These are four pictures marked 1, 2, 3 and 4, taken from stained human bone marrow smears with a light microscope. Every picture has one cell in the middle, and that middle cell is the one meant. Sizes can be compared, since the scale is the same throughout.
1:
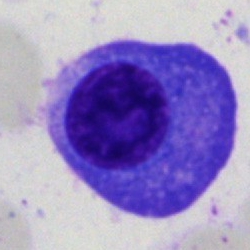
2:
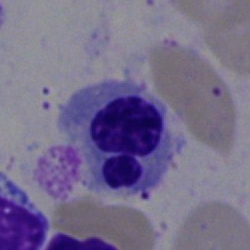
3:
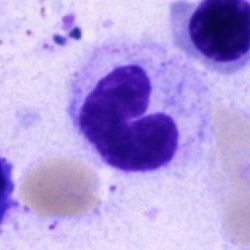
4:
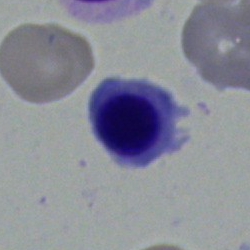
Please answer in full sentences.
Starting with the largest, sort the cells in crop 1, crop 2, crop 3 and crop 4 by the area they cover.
The order is 1, 3, 2, 4, beginning with the largest.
